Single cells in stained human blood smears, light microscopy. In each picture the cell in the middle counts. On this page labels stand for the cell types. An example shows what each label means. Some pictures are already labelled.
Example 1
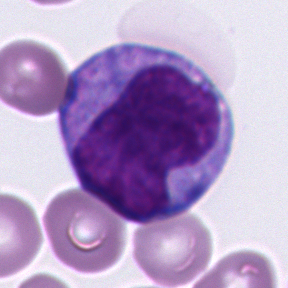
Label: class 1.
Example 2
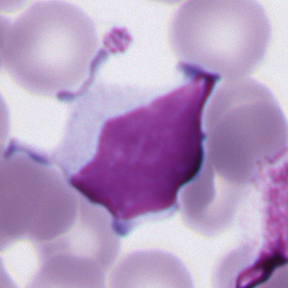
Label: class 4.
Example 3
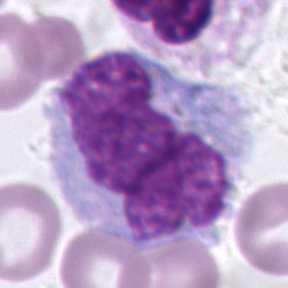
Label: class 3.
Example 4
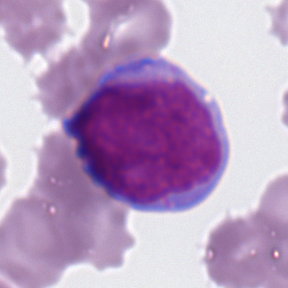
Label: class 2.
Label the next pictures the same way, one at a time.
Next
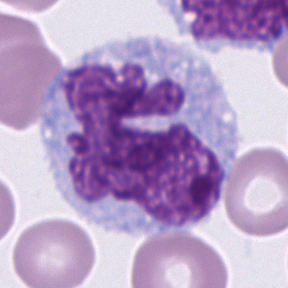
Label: class 3.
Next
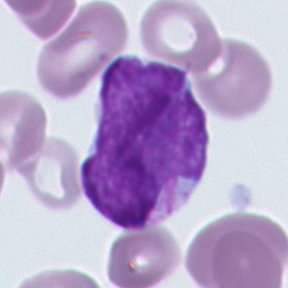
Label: class 1.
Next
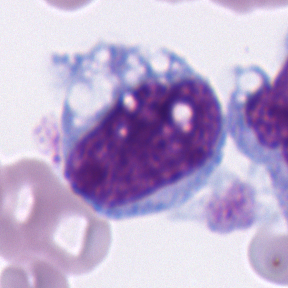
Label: class 3.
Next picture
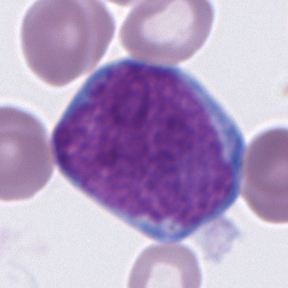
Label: class 2.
